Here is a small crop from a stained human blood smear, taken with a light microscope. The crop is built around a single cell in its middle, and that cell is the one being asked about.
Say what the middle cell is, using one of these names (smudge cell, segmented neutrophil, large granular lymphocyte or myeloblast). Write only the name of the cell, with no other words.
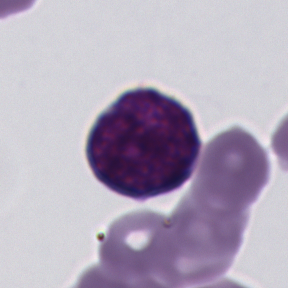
myeloblast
